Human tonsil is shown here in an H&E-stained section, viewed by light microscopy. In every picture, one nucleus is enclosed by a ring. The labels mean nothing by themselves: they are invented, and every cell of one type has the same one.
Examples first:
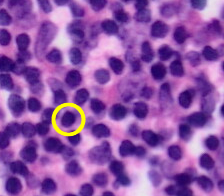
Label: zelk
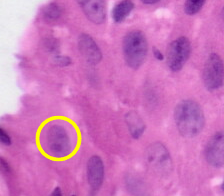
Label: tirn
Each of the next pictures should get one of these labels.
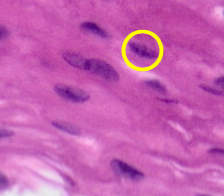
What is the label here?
tirn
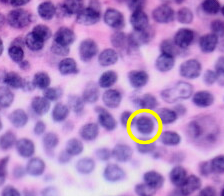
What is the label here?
zelk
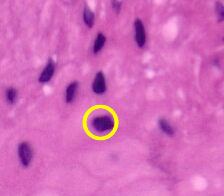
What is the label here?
tirn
